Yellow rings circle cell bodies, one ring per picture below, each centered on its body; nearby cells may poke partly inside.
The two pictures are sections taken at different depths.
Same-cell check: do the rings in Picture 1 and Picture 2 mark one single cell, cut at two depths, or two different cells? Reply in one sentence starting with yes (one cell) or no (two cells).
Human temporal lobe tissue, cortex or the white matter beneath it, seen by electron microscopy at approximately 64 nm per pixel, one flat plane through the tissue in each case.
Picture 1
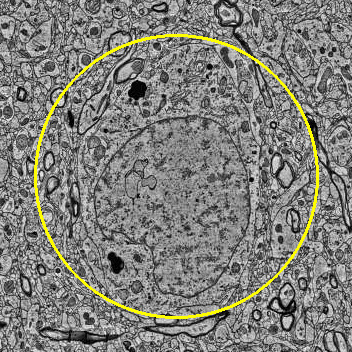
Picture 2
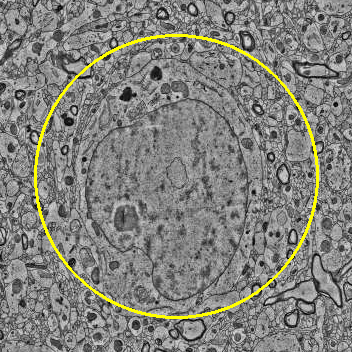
Yes, the two rings refer to one cell in the tissue.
